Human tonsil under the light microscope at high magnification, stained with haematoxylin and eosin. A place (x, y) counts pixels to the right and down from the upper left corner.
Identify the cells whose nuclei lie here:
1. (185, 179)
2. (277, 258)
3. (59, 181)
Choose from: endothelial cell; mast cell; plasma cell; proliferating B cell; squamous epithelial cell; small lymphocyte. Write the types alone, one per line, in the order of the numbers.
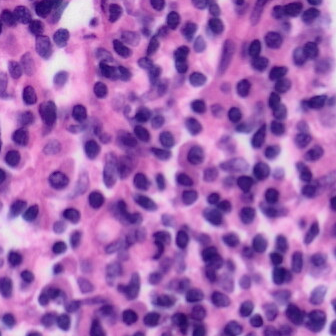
plasma cell
small lymphocyte
plasma cell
